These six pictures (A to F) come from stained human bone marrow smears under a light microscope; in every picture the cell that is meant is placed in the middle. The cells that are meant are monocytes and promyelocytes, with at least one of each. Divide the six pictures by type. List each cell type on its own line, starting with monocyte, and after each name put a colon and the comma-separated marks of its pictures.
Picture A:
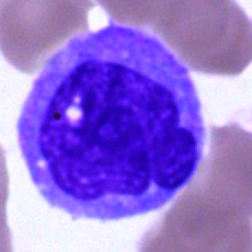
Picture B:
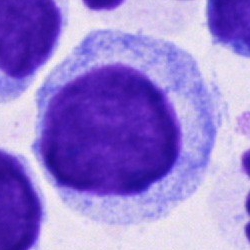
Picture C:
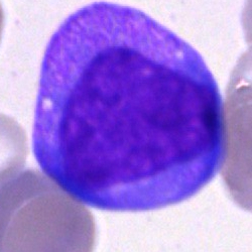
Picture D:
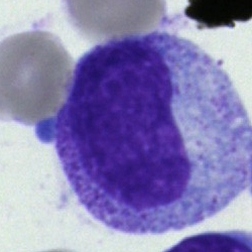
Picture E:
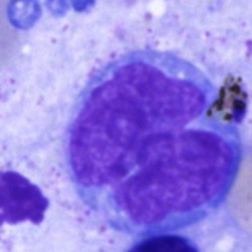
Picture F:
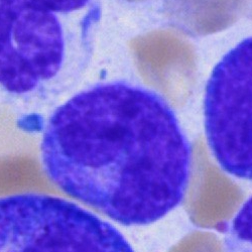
monocyte: A, E, F
promyelocyte: B, C, D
